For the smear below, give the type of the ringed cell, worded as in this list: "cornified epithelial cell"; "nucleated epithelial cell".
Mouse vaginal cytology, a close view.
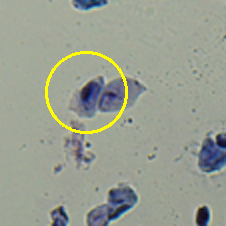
nucleated epithelial cell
